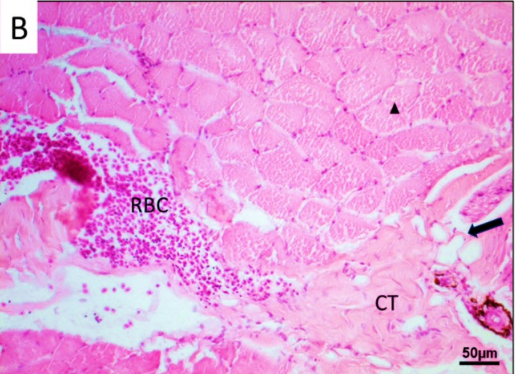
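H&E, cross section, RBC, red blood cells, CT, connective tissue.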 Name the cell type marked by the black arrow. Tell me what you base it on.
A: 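The arrow points to a cluster of round, empty-looking clear spaces with thin walls. They lie within pale pink fibrous tissue outside the muscle fibers.
Adipocytes.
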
